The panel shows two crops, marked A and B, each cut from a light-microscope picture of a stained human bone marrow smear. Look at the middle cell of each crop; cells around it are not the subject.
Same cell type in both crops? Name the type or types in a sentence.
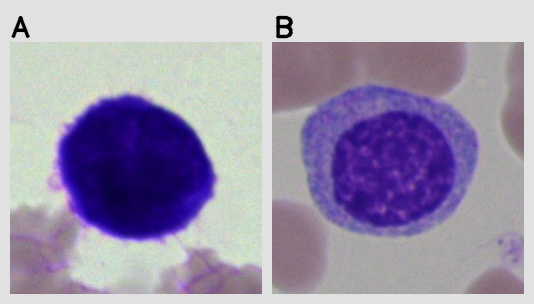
No, crop A displays a blast and crop B displays a myelocyte.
